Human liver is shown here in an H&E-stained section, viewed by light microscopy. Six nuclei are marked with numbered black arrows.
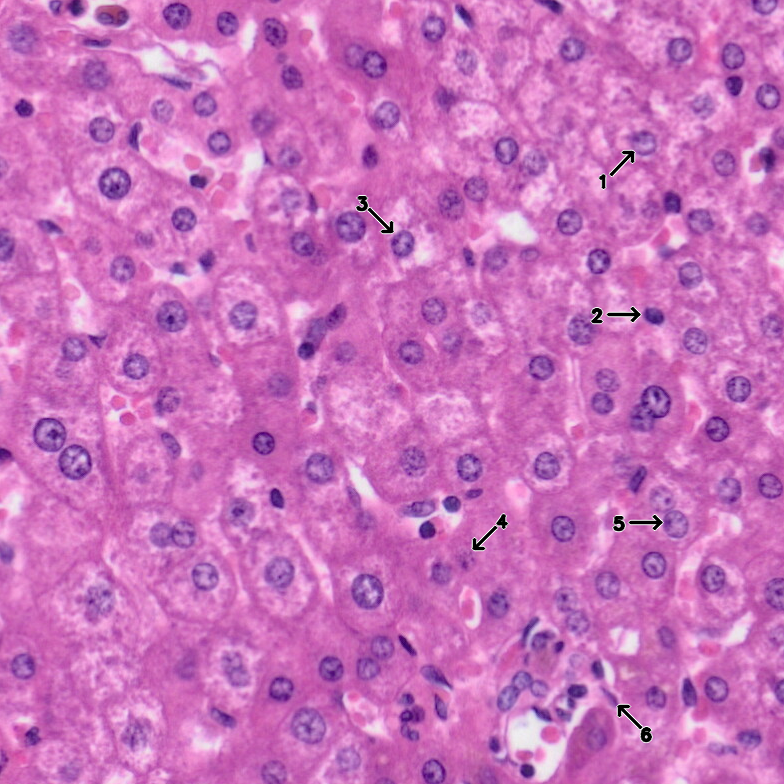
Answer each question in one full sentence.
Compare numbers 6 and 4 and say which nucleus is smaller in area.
Number 6 is smaller, since number 4 takes up about 2.5 times as much area.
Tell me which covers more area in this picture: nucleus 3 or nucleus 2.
Of the two, number 3 is bigger and takes up about 1.5 times the area of number 2.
